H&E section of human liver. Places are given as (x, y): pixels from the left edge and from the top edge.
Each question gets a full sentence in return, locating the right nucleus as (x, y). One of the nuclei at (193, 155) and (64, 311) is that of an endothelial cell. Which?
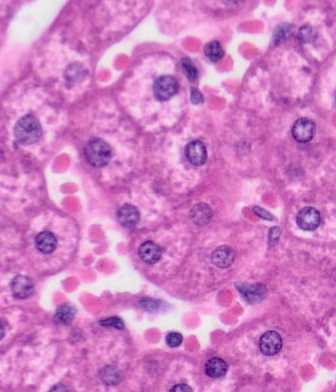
Between the pair, the nucleus at (64, 311) belongs to an endothelial cell.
